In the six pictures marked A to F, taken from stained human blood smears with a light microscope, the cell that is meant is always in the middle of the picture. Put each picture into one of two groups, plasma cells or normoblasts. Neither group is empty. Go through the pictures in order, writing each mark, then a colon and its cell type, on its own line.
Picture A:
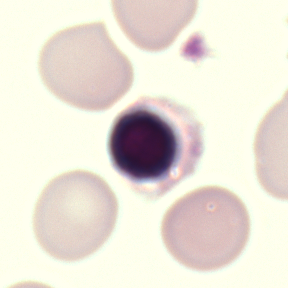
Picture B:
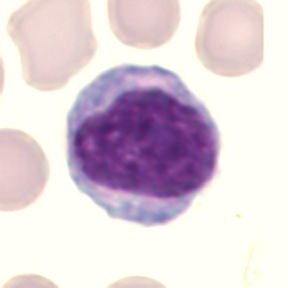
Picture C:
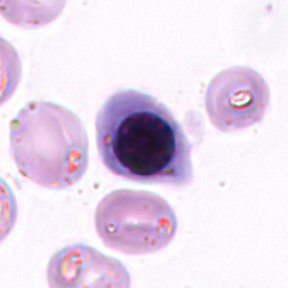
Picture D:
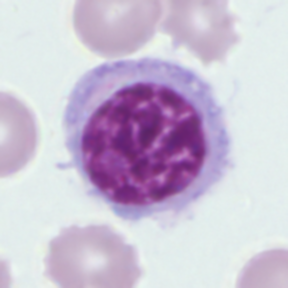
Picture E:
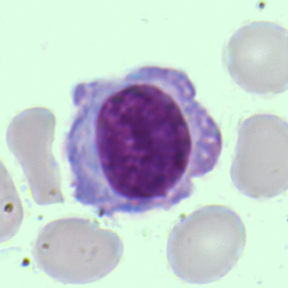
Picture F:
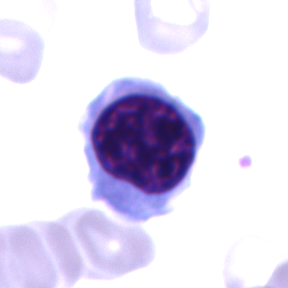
A: normoblast
B: plasma cell
C: normoblast
D: plasma cell
E: plasma cell
F: normoblast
